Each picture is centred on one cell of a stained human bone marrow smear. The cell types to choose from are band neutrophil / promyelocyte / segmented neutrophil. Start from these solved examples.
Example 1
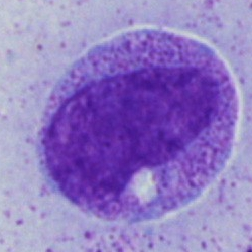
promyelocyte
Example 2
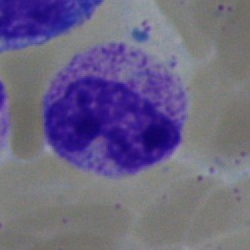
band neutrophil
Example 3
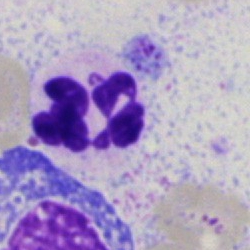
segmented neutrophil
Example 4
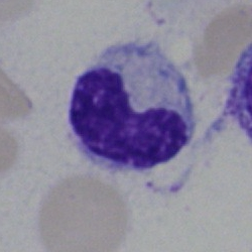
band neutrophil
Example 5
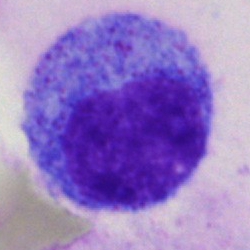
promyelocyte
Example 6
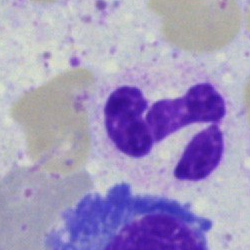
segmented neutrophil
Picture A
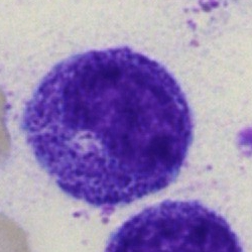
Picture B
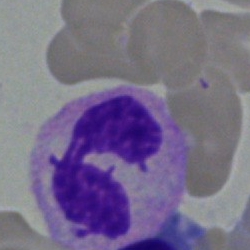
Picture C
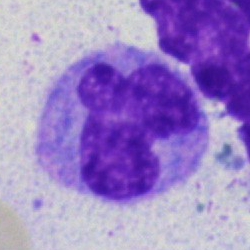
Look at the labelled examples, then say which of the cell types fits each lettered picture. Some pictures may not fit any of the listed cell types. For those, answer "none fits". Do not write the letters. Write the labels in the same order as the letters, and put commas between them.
promyelocyte, segmented neutrophil, none fits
